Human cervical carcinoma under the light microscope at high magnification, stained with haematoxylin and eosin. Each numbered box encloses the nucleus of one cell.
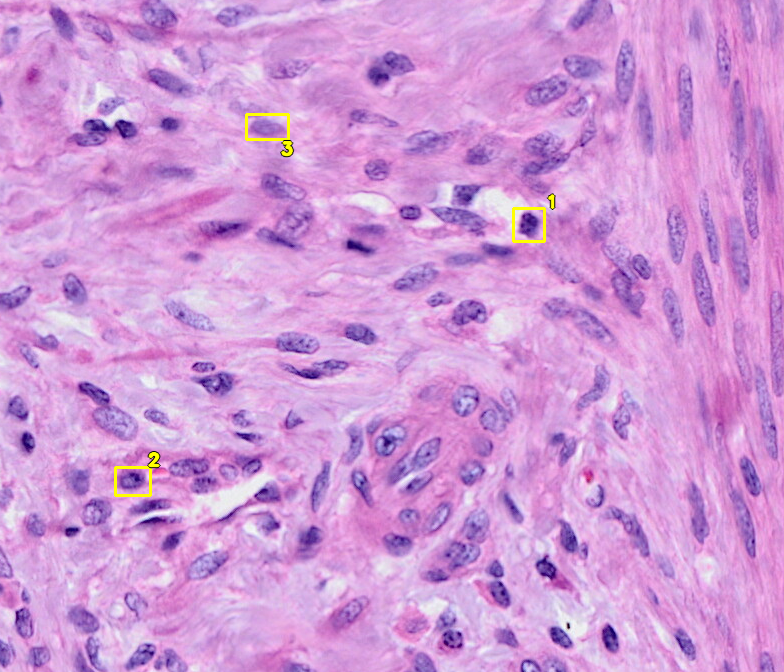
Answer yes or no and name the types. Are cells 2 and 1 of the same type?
No, cell 2 is an endothelial cell and cell 1 is a lymphocyte.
